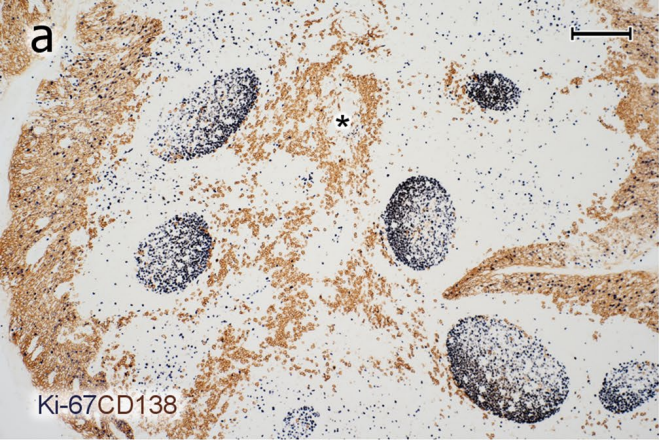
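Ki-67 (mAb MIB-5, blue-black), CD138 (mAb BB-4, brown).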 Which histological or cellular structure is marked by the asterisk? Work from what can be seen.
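Central connective tissue septum. The asterisk lies in a pale, loose band running through the centre of the section. This band is accompanied by many scattered brown-stained cells. Oval dark-nucleated follicles lie on either side of the band.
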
